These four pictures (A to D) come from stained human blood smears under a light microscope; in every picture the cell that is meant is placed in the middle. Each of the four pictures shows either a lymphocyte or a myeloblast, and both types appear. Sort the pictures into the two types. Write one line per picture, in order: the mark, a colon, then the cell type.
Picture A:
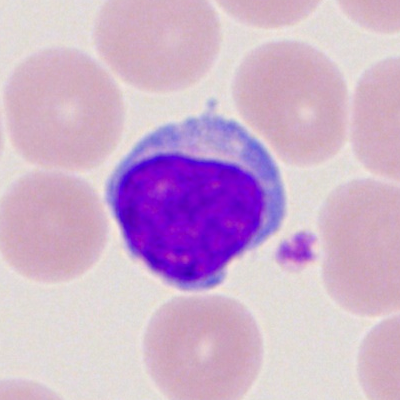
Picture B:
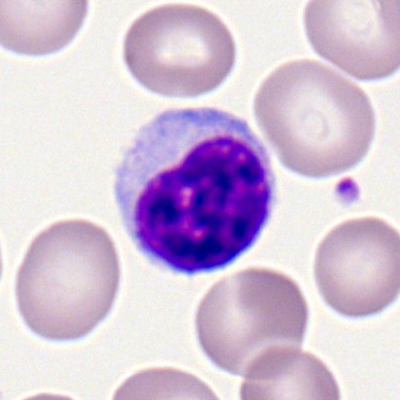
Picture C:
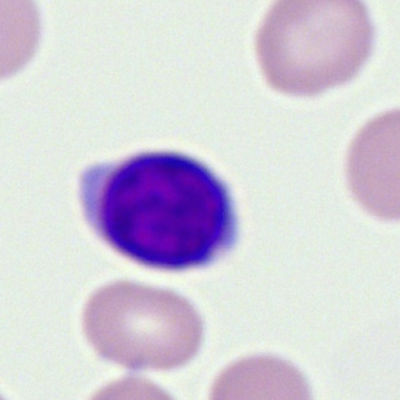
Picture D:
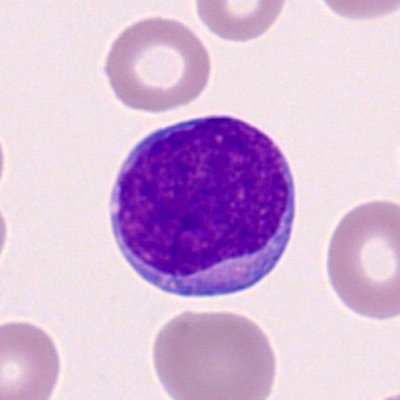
A: lymphocyte
B: lymphocyte
C: lymphocyte
D: myeloblast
